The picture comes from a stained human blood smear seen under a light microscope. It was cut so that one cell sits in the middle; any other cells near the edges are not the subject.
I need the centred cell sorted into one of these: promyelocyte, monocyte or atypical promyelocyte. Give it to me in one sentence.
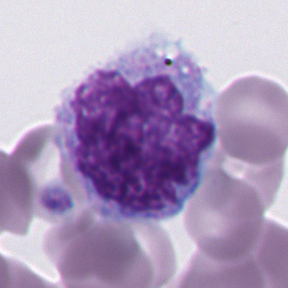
In the middle of this smear crop is a monocyte.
